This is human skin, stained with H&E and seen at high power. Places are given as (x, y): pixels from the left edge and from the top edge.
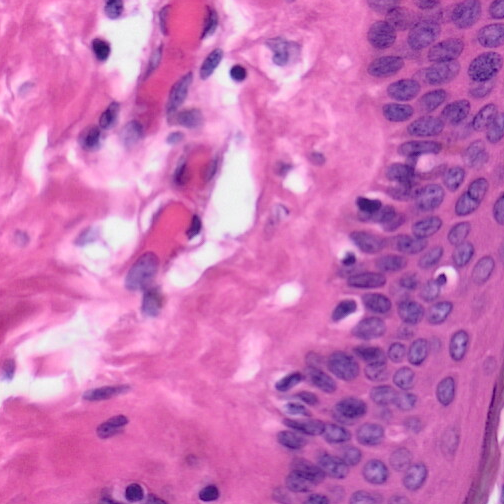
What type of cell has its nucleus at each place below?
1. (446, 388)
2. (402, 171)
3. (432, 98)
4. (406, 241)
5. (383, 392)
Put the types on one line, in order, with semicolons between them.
suprabasal keratinocyte; basal keratinocyte; basal keratinocyte; basal keratinocyte; suprabasal keratinocyte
